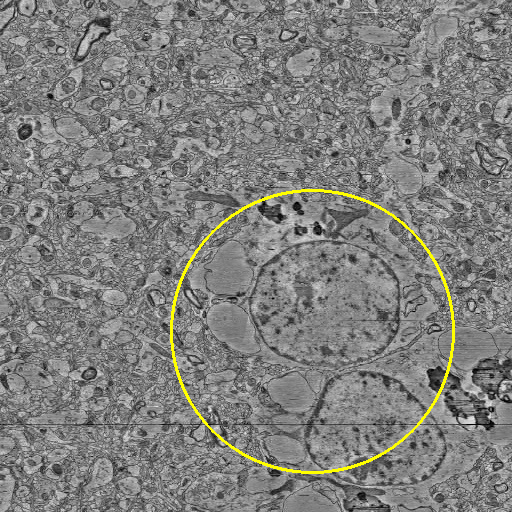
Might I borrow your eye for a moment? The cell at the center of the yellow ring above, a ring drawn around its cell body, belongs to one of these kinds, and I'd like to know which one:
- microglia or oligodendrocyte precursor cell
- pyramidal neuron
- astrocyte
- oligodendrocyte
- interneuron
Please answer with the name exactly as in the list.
astrocyte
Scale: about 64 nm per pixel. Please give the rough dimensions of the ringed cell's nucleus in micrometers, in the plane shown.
In this plane, the nucleus of the cell at the centre of the ring is about 9 micrometres across.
